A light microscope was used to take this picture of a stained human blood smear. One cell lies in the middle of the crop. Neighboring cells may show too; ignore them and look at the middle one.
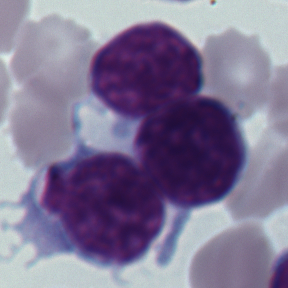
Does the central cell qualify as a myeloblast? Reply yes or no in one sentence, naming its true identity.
Yes, the cell in the middle is a myeloblast.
